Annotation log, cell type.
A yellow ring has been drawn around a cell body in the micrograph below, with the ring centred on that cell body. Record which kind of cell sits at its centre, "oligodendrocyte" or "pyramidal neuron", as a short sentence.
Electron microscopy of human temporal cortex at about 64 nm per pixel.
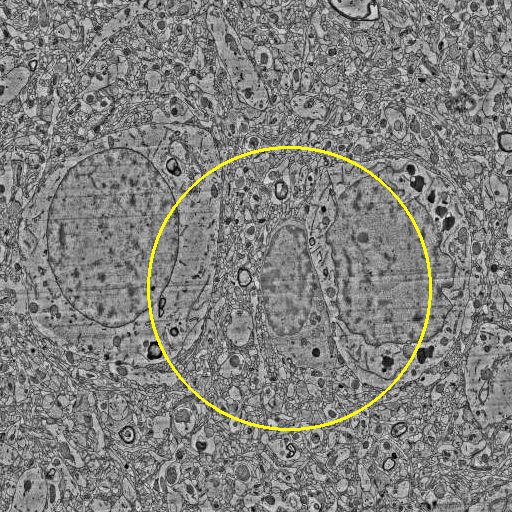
The cell at the centre of this ring is an oligodendrocyte.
